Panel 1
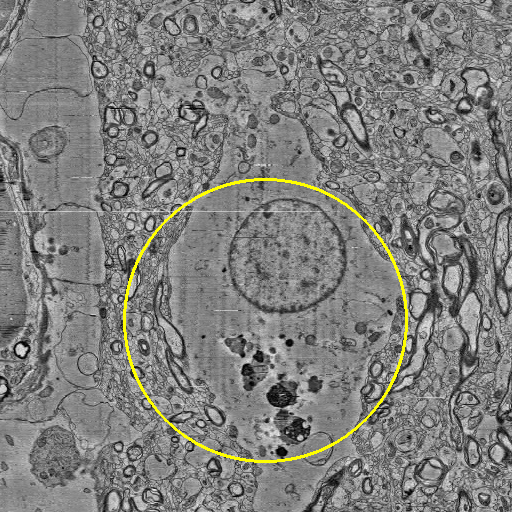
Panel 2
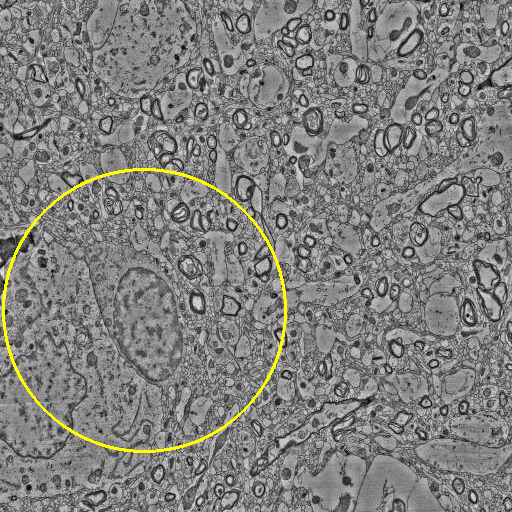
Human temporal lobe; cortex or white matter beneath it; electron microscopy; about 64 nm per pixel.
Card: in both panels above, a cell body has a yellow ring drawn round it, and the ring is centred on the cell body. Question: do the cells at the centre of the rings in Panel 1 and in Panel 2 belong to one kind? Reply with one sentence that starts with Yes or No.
No, the cells centred in the rings of Panel 1 and Panel 2 are two kinds of cell.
